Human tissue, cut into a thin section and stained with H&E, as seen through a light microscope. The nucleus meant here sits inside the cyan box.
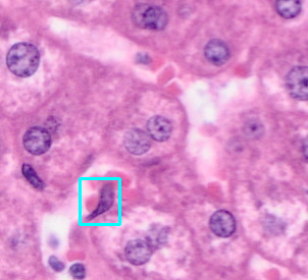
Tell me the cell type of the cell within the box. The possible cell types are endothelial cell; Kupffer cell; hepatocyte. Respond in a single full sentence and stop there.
Labelled by cell type, the cell within the box is a Kupffer cell.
